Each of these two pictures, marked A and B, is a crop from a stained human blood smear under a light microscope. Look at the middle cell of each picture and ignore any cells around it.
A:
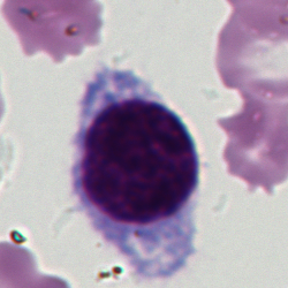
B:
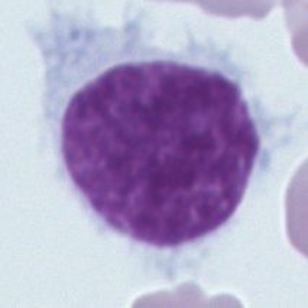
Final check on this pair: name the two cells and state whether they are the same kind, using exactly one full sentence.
Yes, these two crops both show hairy cells.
